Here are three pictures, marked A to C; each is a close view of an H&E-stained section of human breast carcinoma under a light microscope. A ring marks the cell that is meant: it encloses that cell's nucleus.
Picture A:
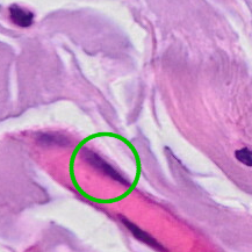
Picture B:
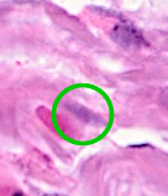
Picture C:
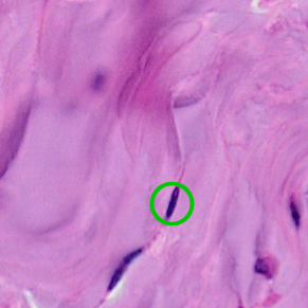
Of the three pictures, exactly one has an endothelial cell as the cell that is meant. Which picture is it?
A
